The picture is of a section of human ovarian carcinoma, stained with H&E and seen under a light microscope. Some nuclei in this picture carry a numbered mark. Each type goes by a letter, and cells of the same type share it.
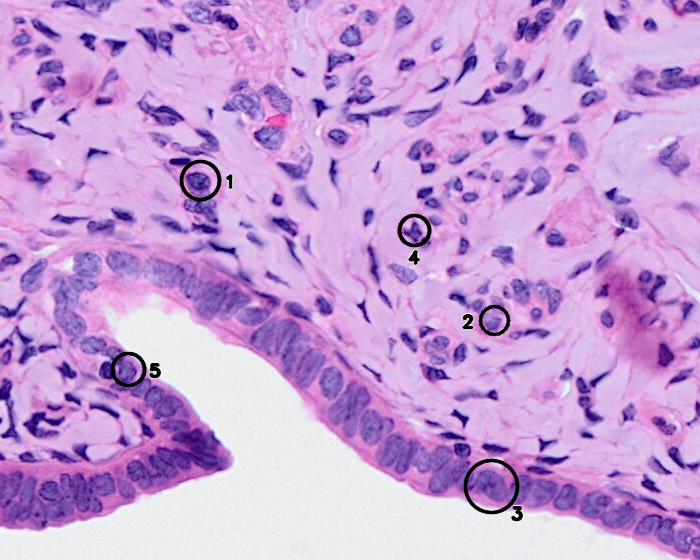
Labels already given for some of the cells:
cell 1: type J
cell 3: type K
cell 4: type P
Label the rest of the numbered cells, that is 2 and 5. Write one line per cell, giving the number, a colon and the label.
2: type P
5: type K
